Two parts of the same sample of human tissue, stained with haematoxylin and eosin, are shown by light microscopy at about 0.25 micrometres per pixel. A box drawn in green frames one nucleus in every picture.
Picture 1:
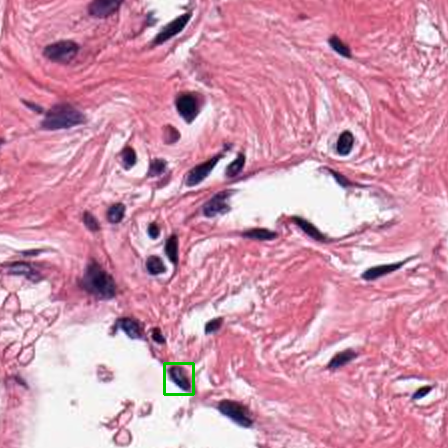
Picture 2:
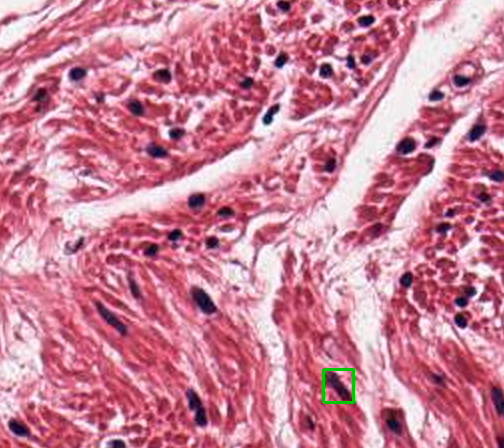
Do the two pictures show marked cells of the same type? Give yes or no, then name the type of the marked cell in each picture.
No, the first is an endothelial cell and the second a smooth muscle cell.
